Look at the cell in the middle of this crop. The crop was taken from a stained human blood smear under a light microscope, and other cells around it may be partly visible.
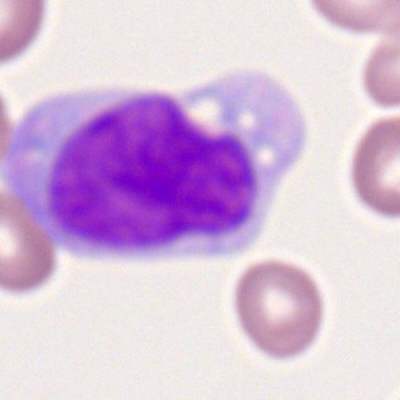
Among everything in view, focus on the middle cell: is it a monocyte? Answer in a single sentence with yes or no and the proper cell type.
Yes, the cell at the heart of the crop is a monocyte.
